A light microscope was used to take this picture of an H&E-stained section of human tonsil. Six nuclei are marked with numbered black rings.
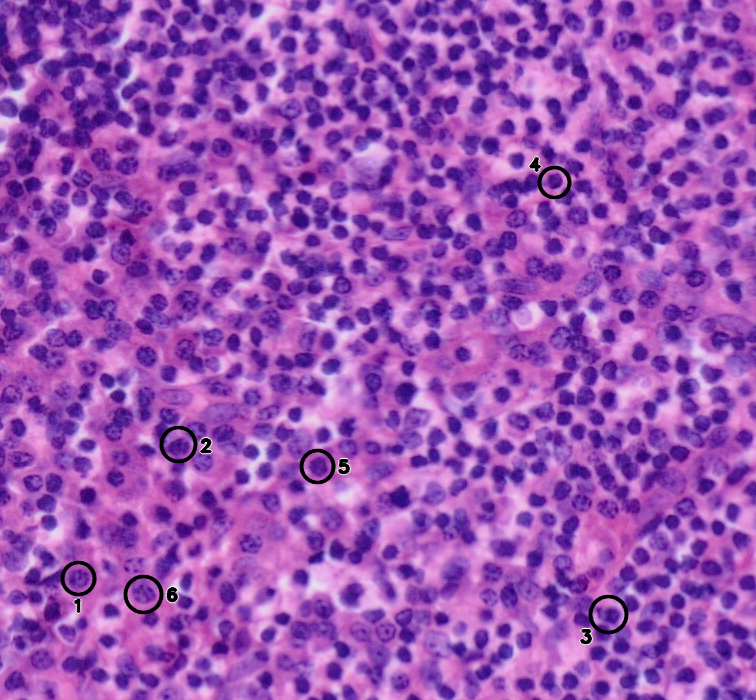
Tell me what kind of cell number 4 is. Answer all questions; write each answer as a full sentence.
The nucleus with number 4 is that of a small lymphocyte.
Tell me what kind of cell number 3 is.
The cell identified by number 3 is a small lymphocyte.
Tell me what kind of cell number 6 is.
As for number 6, that cell is a plasma cell.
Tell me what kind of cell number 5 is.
Identified as a plasma cell is the cell bearing the number 5.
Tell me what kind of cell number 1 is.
Here the cell numbered 1 is a plasma cell.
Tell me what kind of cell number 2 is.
Nucleus 2 in this section belongs to a plasma cell.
